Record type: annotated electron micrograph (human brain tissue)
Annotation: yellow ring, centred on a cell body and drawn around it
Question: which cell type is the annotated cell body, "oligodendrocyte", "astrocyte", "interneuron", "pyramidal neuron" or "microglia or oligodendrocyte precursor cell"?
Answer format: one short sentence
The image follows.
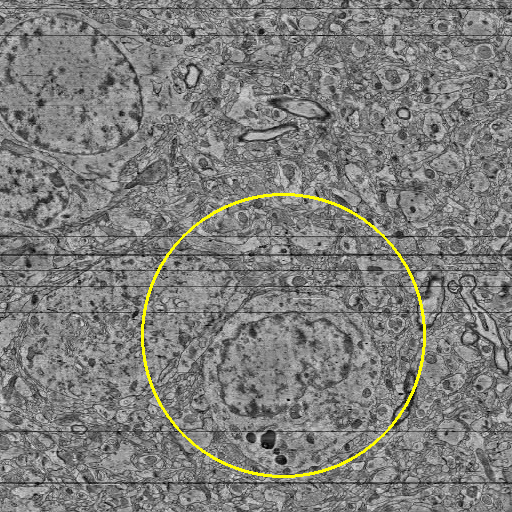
The annotated cell body is that of an interneuron.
